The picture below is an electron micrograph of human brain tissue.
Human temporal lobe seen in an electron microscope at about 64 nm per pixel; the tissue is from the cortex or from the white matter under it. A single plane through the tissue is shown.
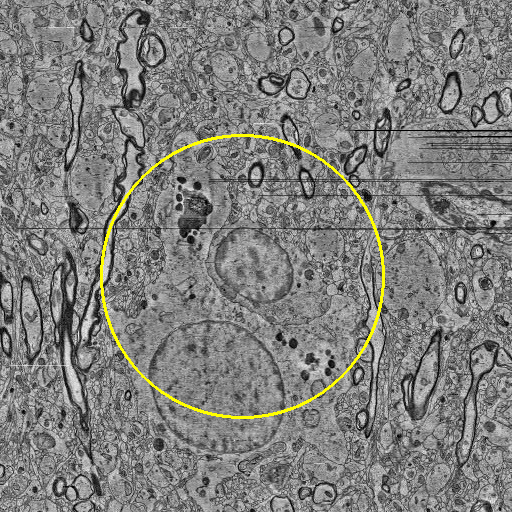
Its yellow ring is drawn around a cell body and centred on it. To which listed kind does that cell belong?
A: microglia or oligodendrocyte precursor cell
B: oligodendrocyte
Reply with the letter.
B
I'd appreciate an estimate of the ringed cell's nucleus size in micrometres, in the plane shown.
In this plane, approximately 5 micrometres across.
